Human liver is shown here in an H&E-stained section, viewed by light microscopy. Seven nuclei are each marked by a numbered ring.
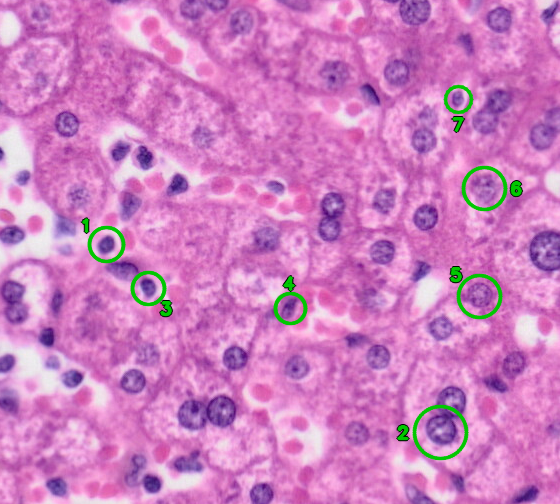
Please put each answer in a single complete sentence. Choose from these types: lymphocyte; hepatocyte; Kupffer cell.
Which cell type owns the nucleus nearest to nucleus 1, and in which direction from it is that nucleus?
The closest nucleus belongs to a Kupffer cell and sits below and to the right of nucleus 1.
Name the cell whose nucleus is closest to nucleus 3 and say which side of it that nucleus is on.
The nearest nucleus is that of a Kupffer cell and lies above and to the left of nucleus 3.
